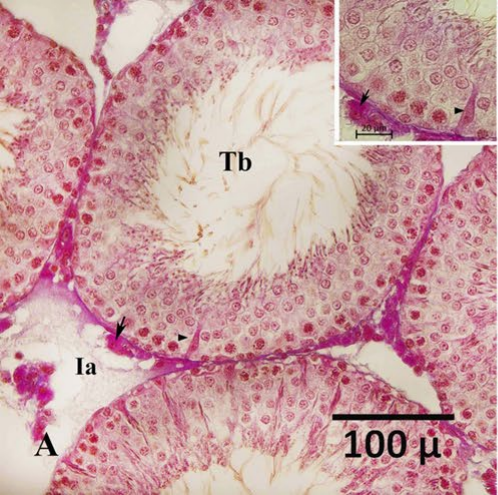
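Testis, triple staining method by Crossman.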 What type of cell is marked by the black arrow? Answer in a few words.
Leydig cells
